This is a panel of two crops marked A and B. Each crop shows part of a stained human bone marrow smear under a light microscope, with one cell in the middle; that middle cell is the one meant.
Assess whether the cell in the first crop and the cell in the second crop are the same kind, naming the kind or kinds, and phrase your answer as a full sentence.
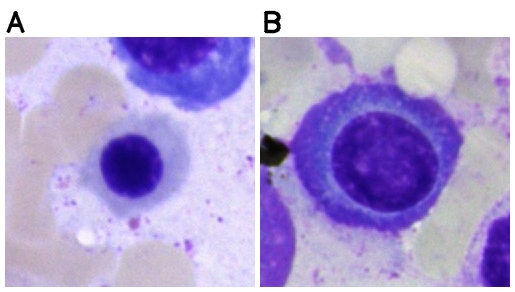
No, crop A depicts a normoblast, and crop B depicts a plasma cell.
